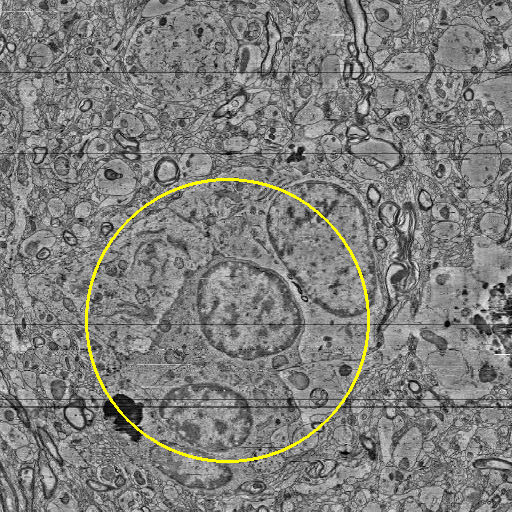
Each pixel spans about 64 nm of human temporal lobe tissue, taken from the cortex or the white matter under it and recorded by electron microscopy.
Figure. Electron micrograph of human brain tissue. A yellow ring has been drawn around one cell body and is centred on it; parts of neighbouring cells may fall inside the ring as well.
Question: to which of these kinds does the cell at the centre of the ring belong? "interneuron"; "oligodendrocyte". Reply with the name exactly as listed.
oligodendrocyte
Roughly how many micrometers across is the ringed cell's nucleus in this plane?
Roughly 7 by 6 micrometres is the size of the nucleus in this plane.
